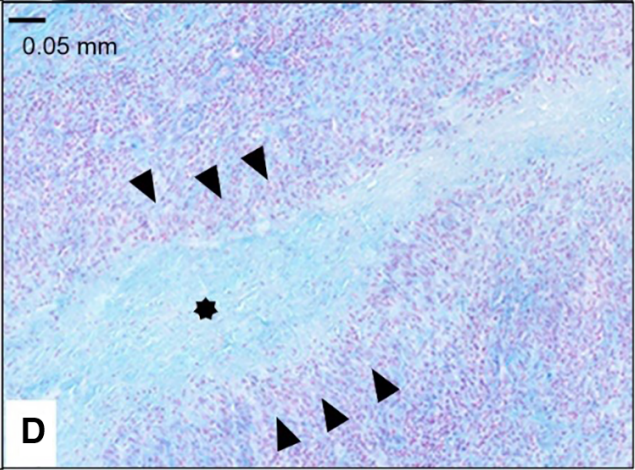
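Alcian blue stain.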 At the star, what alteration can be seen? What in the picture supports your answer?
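A broad paucicellular band stained pale blue runs across the field. Few nuclei lie within the band compared with its flanks.
Central zone of necrobiosis.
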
